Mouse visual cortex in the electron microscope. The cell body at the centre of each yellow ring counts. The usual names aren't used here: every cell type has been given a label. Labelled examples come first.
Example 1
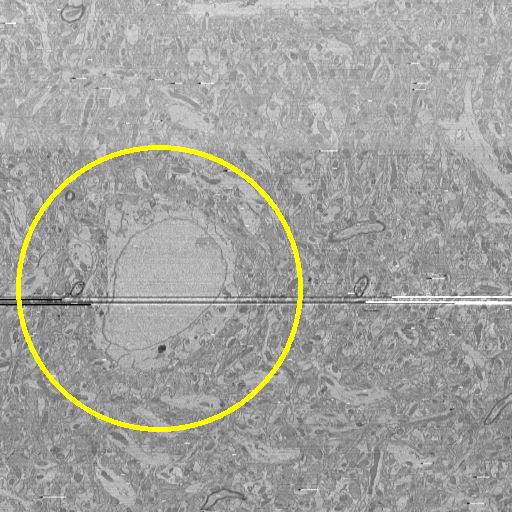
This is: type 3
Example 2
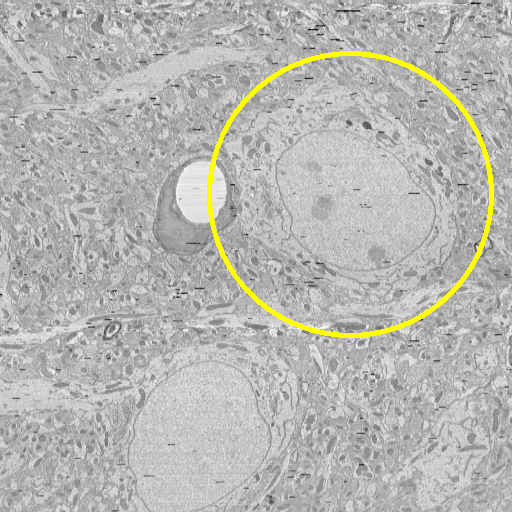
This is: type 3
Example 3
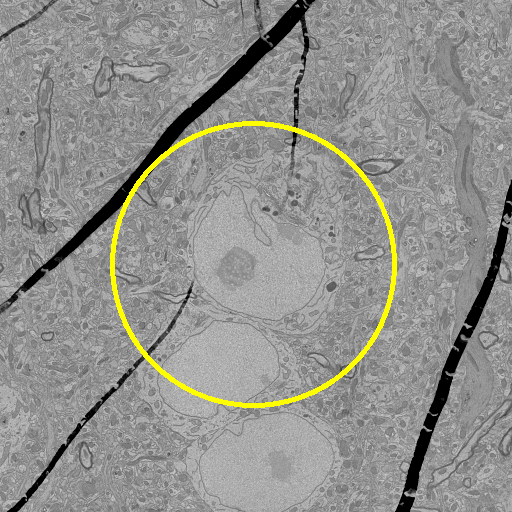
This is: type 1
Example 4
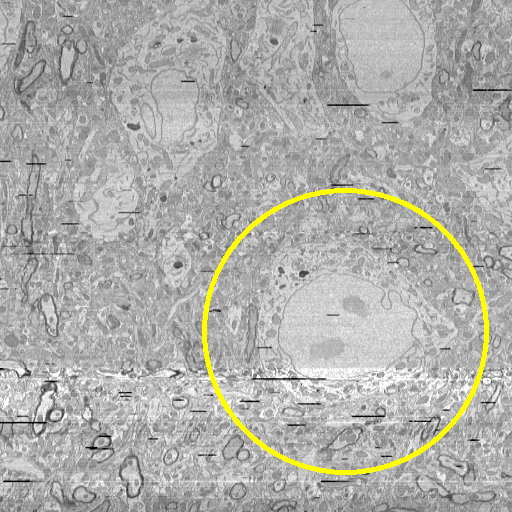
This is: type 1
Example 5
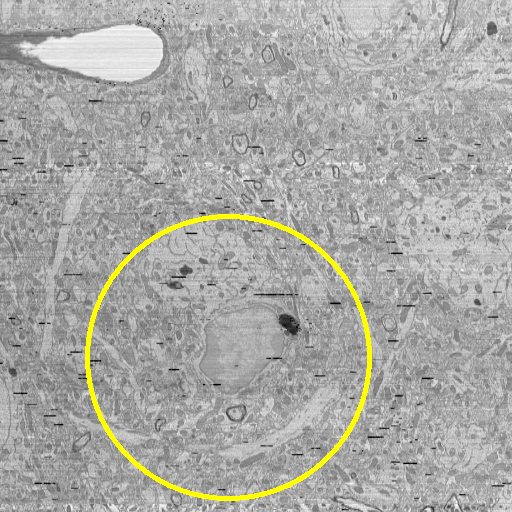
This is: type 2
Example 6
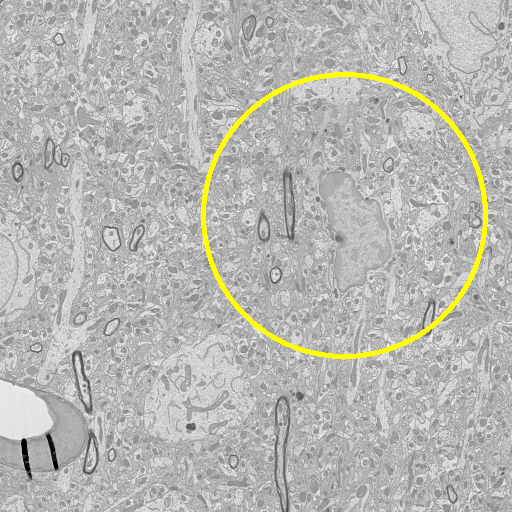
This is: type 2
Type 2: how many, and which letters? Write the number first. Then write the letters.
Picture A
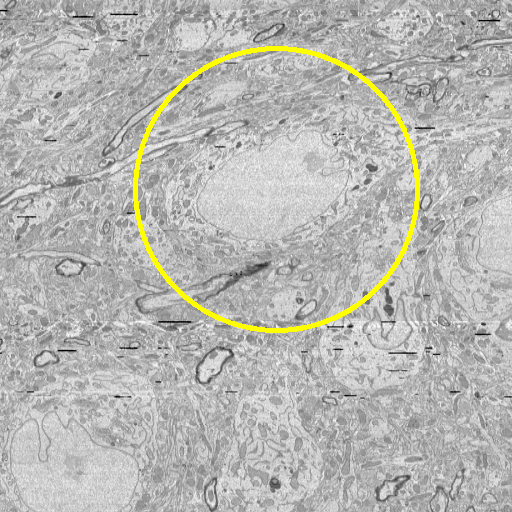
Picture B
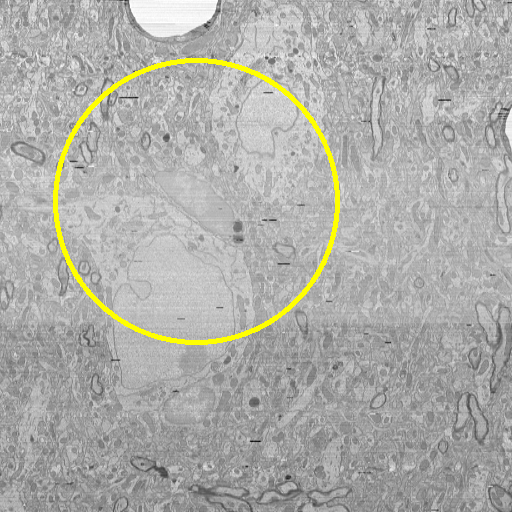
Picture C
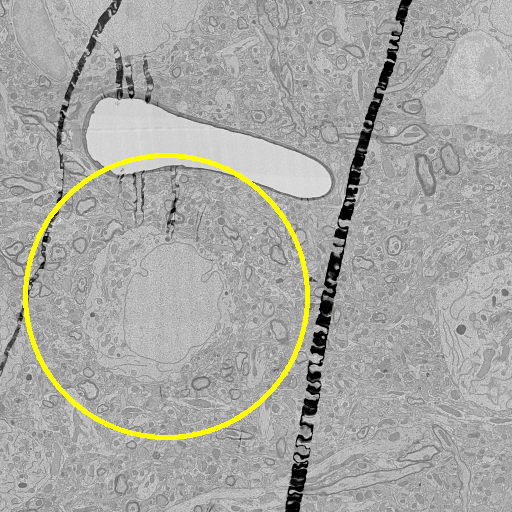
Count: 1 (B)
